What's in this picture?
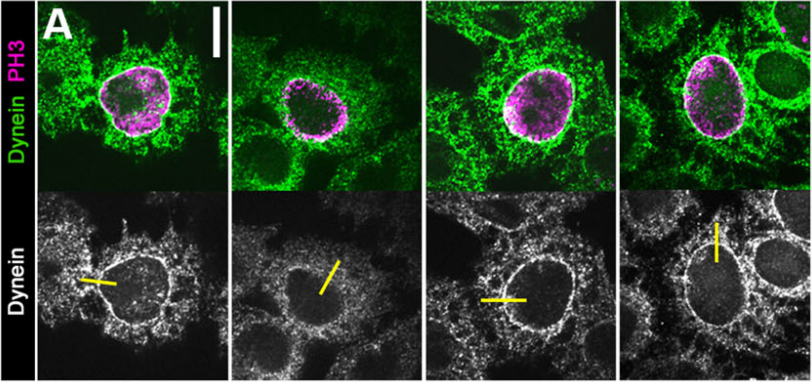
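Around each nucleus the green, or grey, signal fills the cytoplasm as a fine granular network reaching out to the cell edges. In most of the cells this signal also gathers into a bright, sharp ring hugging the nuclear border. In one cell that ring is faint and barely stands out from the cytoplasmic network.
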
